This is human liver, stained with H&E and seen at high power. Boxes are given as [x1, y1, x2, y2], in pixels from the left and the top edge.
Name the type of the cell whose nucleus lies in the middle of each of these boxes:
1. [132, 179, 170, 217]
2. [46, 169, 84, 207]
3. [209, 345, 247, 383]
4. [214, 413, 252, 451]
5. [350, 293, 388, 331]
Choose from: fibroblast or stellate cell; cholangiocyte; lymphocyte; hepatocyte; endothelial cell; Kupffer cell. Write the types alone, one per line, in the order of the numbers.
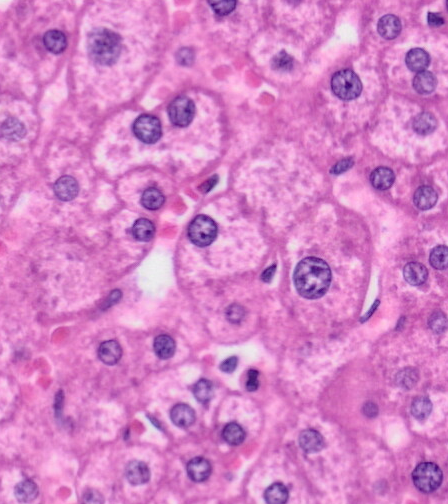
hepatocyte
hepatocyte
lymphocyte
hepatocyte
endothelial cell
